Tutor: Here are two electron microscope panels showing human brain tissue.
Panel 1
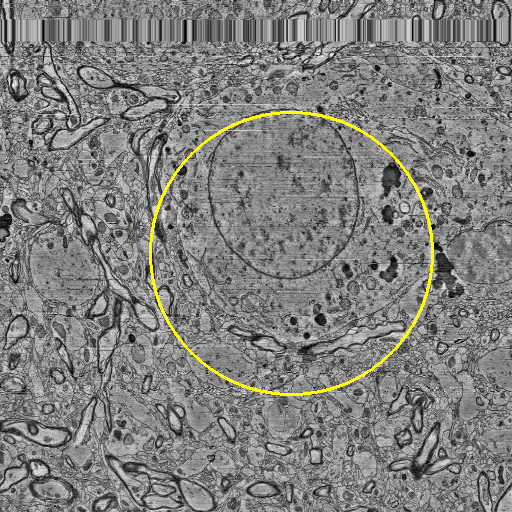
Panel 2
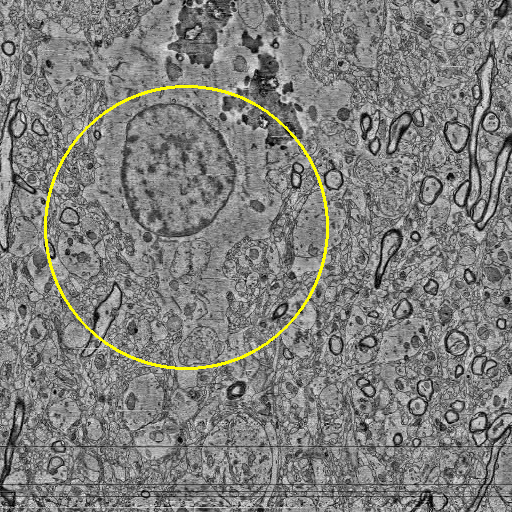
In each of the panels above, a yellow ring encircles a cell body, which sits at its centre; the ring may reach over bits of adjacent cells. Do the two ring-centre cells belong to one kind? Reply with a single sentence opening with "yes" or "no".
No, the two cells sitting at the ring centres in the panels belong to two kinds.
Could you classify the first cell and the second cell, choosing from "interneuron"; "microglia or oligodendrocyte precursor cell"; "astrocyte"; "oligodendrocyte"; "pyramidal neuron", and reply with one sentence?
The second cell is an astrocyte, while the first is a pyramidal neuron.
